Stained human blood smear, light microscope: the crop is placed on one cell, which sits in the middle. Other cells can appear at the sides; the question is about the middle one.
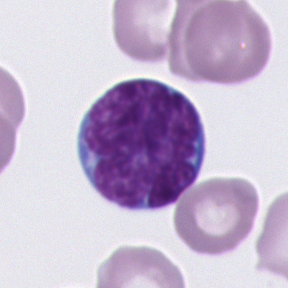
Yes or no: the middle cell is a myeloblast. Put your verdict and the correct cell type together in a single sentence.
Yes, the cell that the crop is centered on is a myeloblast.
